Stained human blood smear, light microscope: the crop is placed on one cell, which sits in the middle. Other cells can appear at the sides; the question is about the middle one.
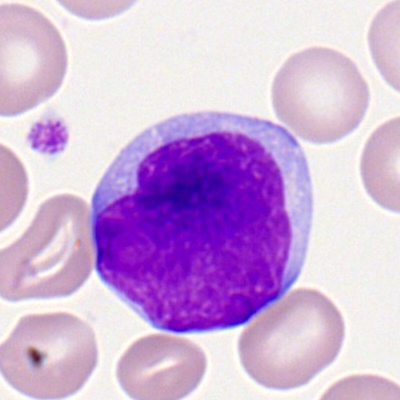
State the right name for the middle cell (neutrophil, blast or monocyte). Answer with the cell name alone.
blast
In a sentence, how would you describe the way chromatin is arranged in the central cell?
In this cell the chromatin is fine rather than coarsely clumped.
